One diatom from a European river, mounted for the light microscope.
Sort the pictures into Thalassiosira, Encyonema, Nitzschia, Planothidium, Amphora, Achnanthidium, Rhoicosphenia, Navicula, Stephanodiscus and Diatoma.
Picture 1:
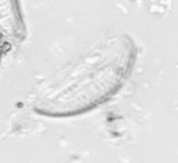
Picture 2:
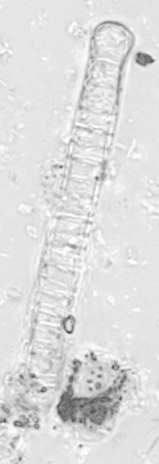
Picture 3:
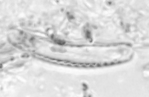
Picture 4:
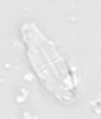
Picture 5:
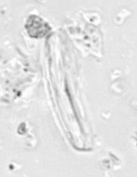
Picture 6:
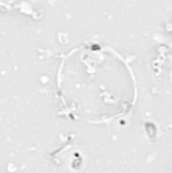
Amphora: 1
Diatoma: 2
Planothidium: 3
Achnanthidium: 4, 5
Thalassiosira: 6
